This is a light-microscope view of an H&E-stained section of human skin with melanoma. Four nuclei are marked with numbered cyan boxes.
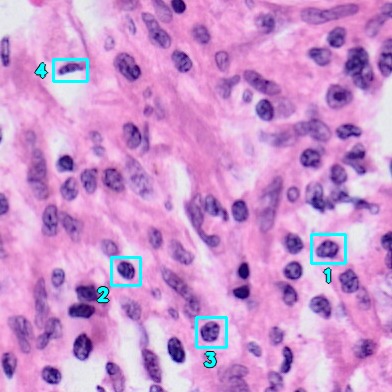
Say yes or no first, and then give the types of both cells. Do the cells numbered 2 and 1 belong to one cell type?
Yes, in this section cells 2 and 1 are both lymphocytes.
